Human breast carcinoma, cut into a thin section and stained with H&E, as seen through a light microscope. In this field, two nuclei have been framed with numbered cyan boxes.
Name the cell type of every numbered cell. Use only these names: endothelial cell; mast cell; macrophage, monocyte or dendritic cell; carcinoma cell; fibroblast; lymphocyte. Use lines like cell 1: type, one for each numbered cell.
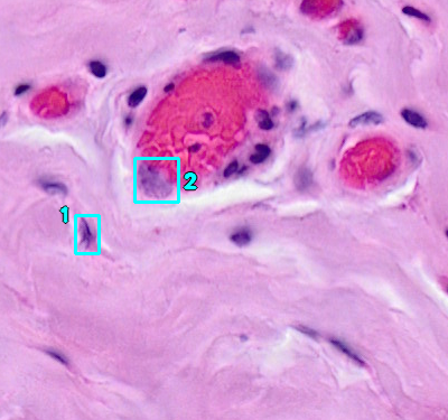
cell 1: fibroblast
cell 2: endothelial cell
